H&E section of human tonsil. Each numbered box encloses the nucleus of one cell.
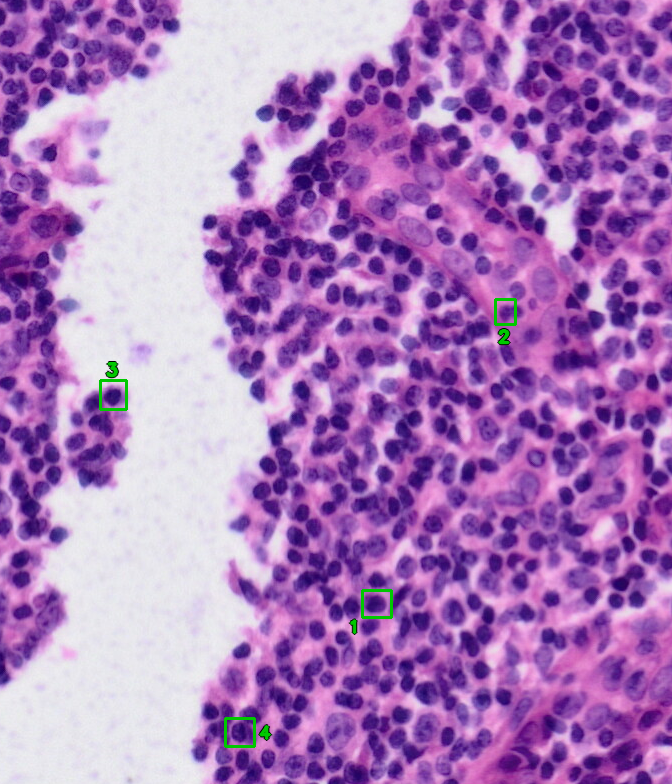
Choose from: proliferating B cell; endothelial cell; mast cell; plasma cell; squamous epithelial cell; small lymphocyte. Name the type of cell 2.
endothelial cell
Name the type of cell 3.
small lymphocyte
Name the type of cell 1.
small lymphocyte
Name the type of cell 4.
small lymphocyte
